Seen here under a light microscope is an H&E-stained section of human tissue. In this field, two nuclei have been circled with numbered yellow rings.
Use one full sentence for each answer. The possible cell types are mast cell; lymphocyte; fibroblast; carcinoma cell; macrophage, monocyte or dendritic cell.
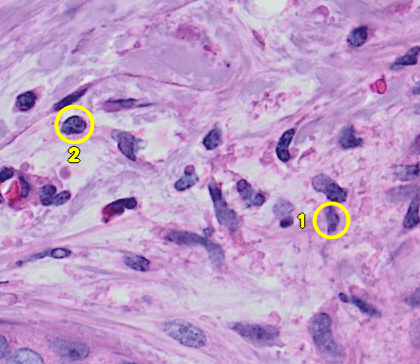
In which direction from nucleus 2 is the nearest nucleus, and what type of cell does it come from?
The closest nucleus belongs to a fibroblast and sits above nucleus 2.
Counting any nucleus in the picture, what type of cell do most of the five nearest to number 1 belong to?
Most of the five nuclei nearest to number 1 are those of macrophages, monocytes or dendritic cells.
